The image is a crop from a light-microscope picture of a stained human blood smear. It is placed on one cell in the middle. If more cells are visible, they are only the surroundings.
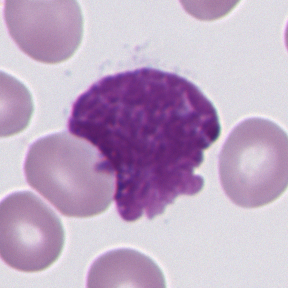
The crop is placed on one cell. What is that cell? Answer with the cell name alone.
smudge cell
